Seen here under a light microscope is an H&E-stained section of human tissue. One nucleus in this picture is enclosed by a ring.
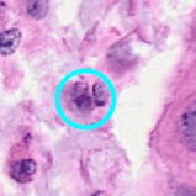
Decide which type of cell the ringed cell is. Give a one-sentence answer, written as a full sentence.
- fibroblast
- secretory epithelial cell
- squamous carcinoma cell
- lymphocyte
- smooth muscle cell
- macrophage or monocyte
In this preparation, the ringed cell is a macrophage or monocyte.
